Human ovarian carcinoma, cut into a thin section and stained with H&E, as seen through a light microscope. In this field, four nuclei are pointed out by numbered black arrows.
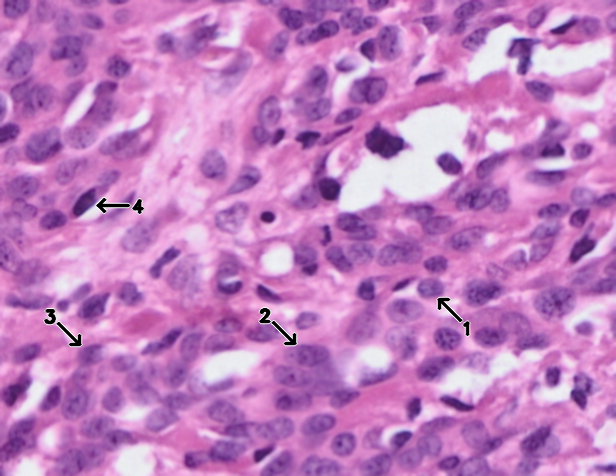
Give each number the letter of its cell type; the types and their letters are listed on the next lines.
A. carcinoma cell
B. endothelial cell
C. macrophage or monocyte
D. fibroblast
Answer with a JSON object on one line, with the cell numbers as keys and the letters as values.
{"1": "C", "2": "A", "3": "A", "4": "A"}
